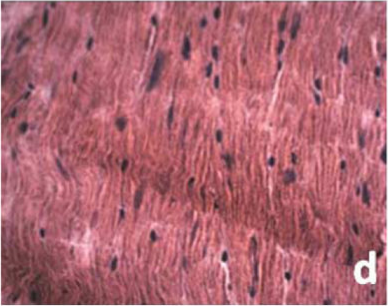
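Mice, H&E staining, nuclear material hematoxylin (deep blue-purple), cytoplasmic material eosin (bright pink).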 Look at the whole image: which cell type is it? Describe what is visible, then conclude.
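Cardiac muscle cells. Long, parallel pink fibers fill the field. Elongated dark blue nuclei lie within the fibers. Fine longitudinal striation-like texture runs along the fibers.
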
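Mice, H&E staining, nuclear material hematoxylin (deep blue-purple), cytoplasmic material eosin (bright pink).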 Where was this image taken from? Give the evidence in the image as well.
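Fibers run lengthwise across the whole field. Nuclei are cigar-shaped and aligned with the fibers. So: longitudinal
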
